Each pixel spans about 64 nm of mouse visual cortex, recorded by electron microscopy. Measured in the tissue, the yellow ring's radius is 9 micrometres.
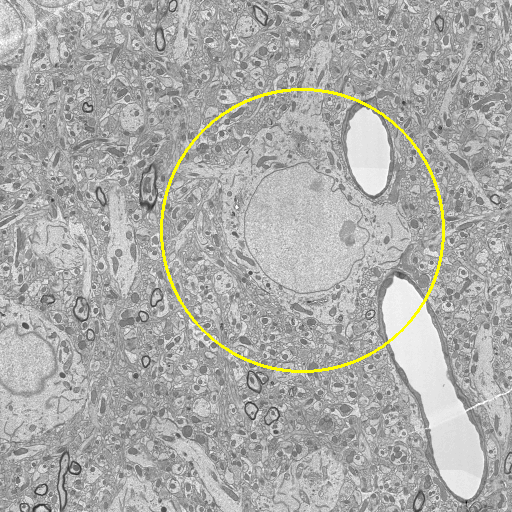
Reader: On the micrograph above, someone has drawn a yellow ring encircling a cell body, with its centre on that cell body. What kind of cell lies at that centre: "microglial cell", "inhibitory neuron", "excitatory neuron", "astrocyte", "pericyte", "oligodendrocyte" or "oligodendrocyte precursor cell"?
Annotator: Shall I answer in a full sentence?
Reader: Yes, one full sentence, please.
Here an excitatory neuron sits at the centre of the yellow ring drawn on the micrograph.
